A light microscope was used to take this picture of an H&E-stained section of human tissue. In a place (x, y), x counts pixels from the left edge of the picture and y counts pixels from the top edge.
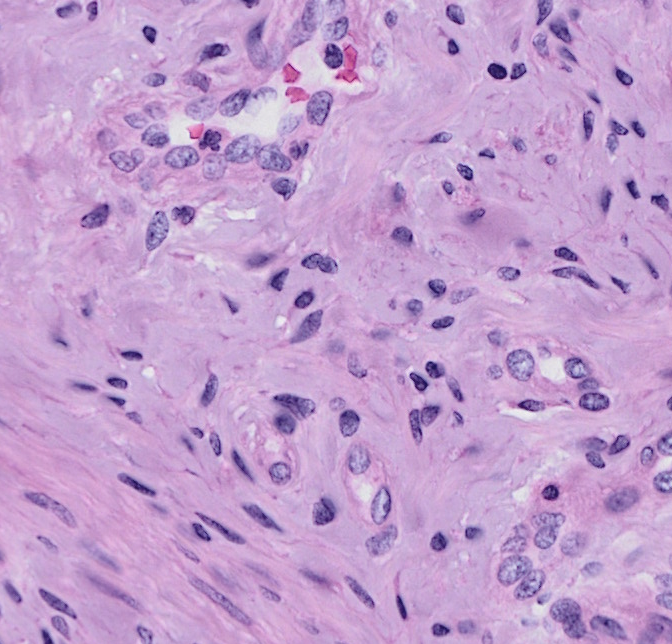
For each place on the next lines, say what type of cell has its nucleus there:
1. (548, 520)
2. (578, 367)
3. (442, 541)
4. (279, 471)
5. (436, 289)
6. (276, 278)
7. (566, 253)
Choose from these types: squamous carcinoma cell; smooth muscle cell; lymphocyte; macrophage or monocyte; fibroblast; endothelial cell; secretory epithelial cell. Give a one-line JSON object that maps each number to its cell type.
{"1": "endothelial cell", "2": "endothelial cell", "3": "fibroblast", "4": "endothelial cell", "5": "fibroblast", "6": "fibroblast", "7": "fibroblast"}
